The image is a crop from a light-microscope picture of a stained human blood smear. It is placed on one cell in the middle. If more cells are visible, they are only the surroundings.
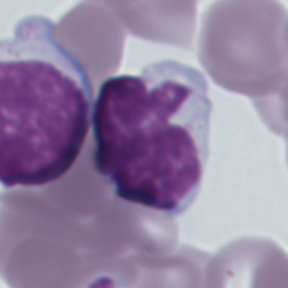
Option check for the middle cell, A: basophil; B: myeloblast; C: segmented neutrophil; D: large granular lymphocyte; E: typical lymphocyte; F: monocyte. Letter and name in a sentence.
The cell in the centre of the crop is a large granular lymphocyte, so option D is the correct one.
